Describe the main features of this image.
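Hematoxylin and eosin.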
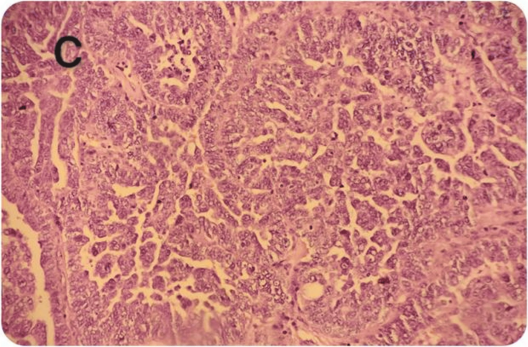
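This is a carcinoma in which crowded atypical epithelial cells build branching papillary fronds, separated by a network of narrow, slit-like clear spaces. The cells have pinkish-purple cytoplasm and lie so tightly packed that their borders are hard to make out.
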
